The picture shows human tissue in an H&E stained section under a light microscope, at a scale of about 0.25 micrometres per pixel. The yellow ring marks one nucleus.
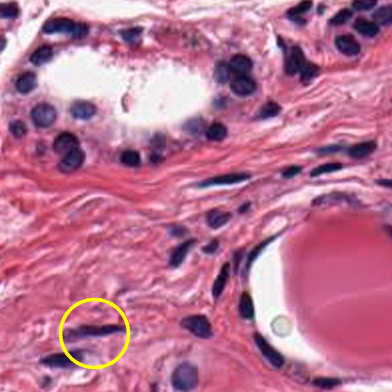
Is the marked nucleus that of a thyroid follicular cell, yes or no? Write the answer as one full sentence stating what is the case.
No, the marked nucleus does not form part of a thyroid follicular cell, being part of a supporting cell.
